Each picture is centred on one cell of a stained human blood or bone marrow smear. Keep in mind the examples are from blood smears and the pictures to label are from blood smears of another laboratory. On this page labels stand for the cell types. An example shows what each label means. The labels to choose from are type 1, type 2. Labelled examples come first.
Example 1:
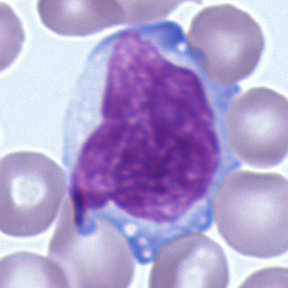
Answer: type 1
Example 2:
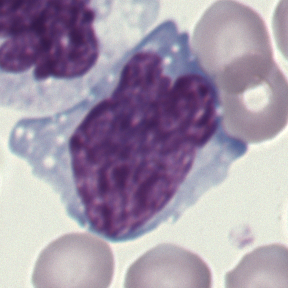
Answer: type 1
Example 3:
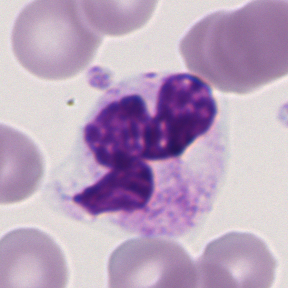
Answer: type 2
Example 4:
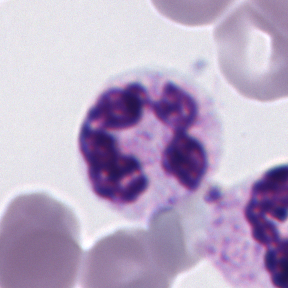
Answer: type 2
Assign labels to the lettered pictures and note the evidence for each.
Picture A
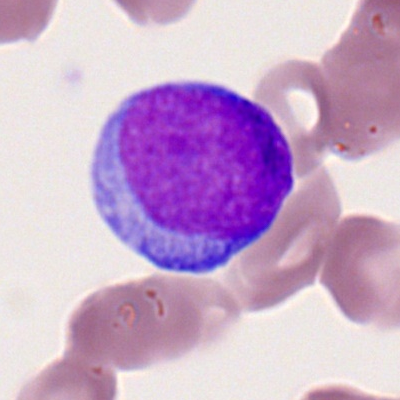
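Label: type 1. The cytoplasm is deep blue.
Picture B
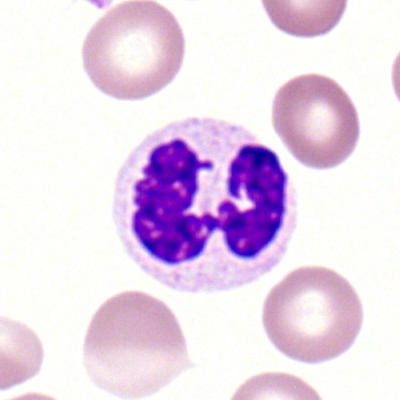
Label: type 2. The nucleus is divided into two large lobes lying side by side.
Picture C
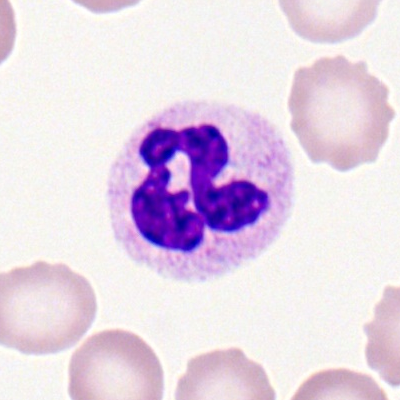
Label: type 2. The cytoplasm is plentiful and pale pink.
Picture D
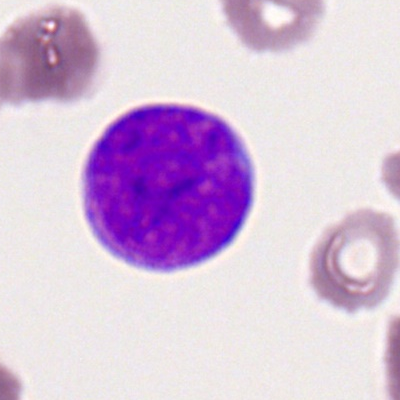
Label: type 1. The nucleus fills almost the whole cell.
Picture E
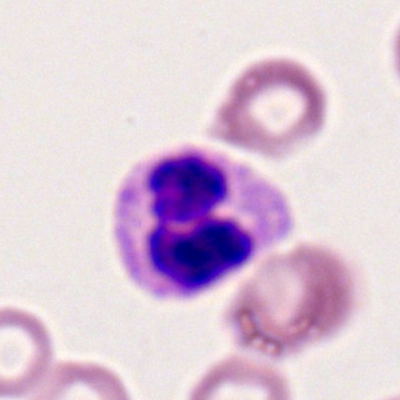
Label: type 2. The nucleus is divided into two lobes, one lying above the other.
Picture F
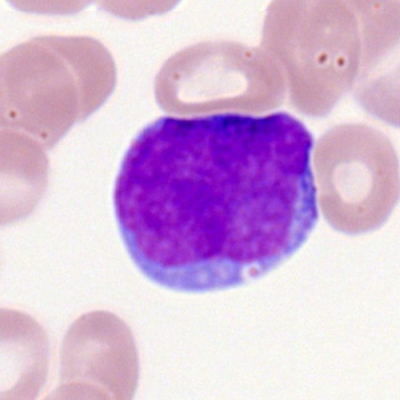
Label: type 1. The cytoplasm is stained blue.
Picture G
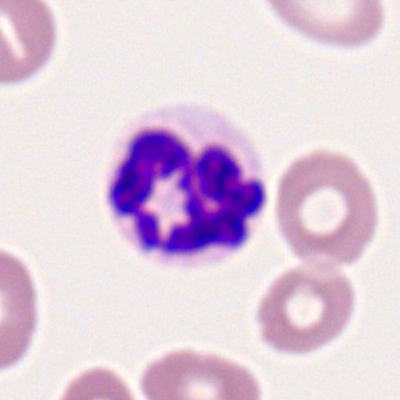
Label: type 2. The nucleus is divided into several connected lobes.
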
